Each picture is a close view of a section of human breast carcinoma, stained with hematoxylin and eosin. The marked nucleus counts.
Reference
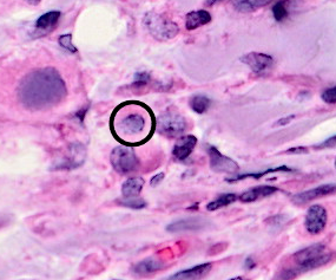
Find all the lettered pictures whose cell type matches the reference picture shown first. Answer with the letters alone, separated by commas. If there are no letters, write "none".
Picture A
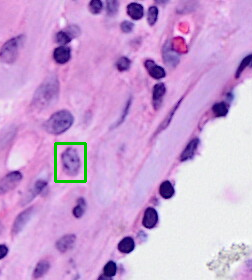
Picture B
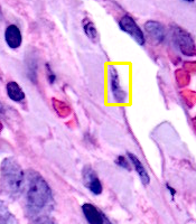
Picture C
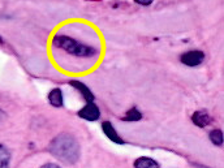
A, C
